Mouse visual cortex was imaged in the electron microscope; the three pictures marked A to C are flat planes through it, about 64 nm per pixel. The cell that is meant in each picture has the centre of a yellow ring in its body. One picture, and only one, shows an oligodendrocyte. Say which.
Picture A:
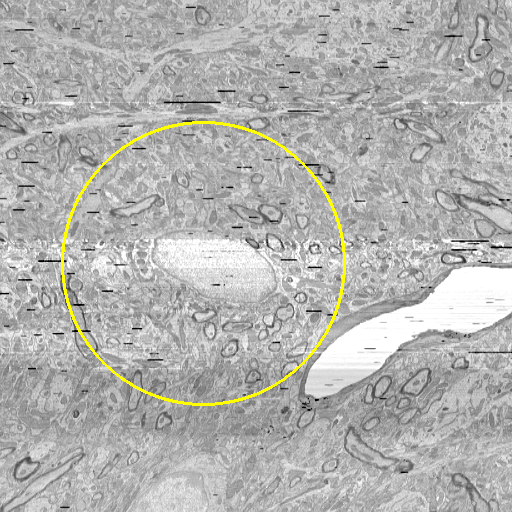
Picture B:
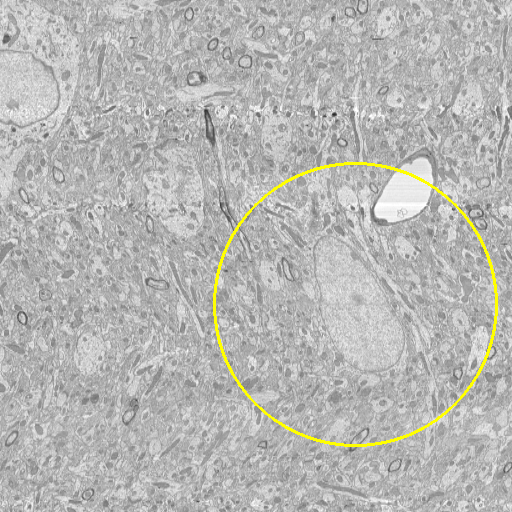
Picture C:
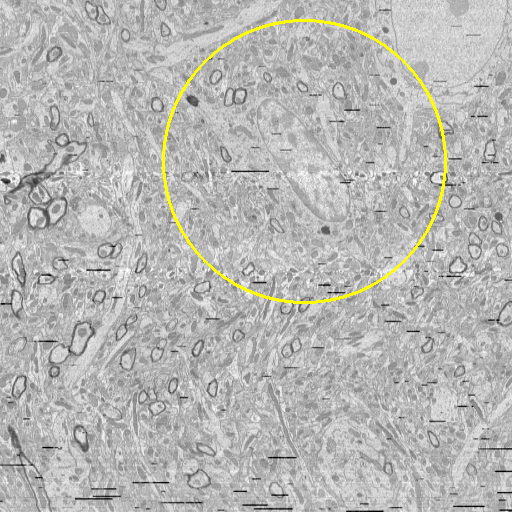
The picture with the oligodendrocyte is C.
